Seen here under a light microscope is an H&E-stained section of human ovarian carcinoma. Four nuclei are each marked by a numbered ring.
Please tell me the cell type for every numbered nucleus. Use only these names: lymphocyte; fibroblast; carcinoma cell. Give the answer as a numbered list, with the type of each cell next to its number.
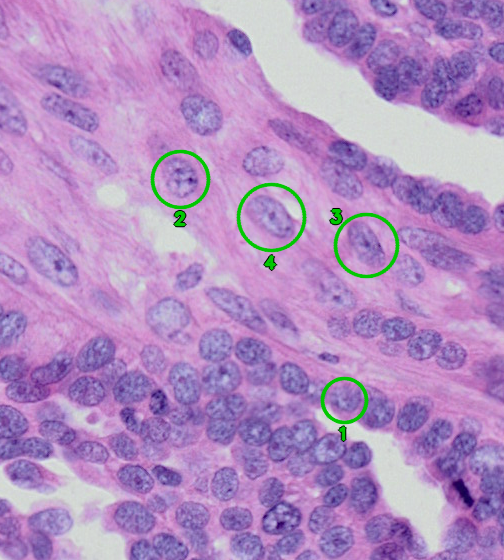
1. carcinoma cell
2. fibroblast
3. fibroblast
4. fibroblast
